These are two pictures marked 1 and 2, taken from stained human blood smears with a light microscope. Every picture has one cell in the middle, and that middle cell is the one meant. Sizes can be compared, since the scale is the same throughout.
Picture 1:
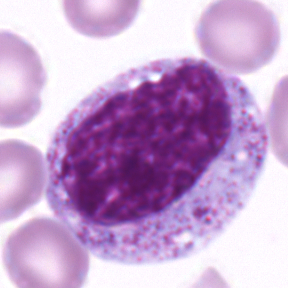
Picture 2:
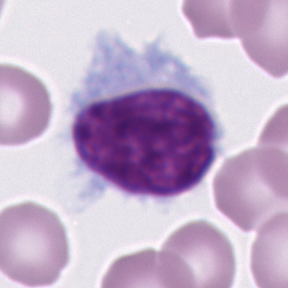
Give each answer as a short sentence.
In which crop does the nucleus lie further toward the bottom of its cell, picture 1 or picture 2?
It is the nucleus in picture 2 that lies further toward the bottom of its cell.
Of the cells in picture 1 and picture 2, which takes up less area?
The cell in picture 2 is smaller; the one in picture 1 has about 2 times its area.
